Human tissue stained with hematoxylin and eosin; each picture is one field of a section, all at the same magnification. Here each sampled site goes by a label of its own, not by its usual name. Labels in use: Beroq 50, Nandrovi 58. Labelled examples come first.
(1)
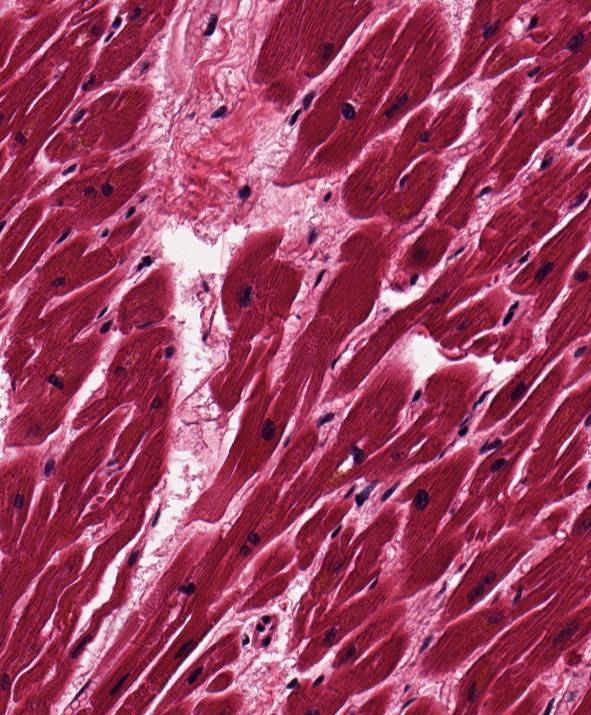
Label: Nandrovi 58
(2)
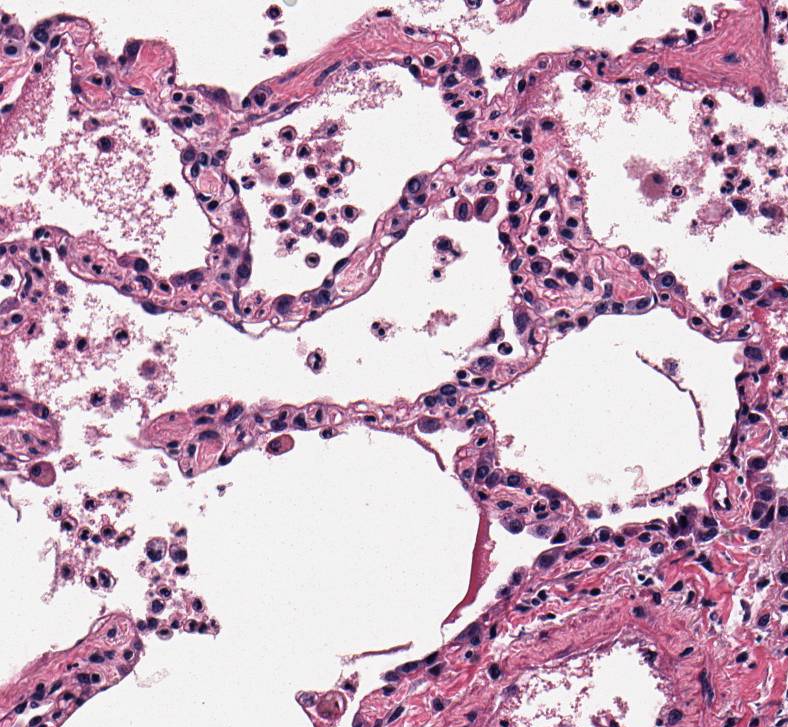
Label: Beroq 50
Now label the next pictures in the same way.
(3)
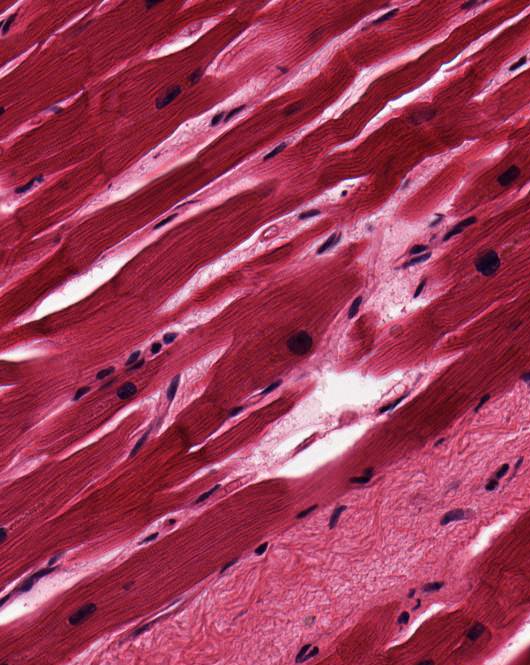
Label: Nandrovi 58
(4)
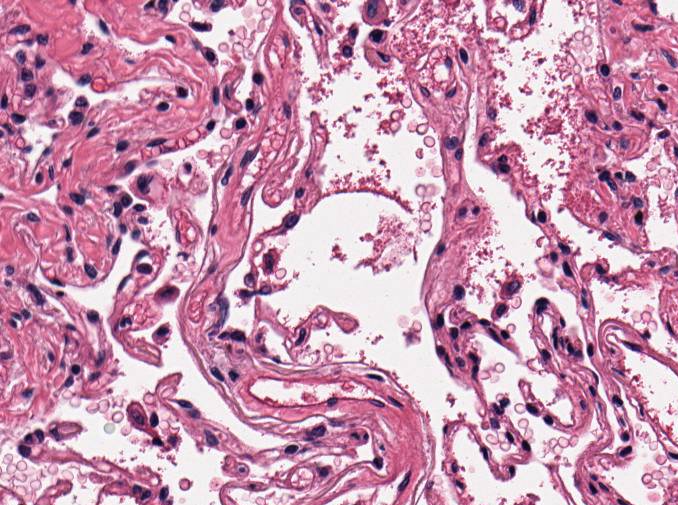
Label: Beroq 50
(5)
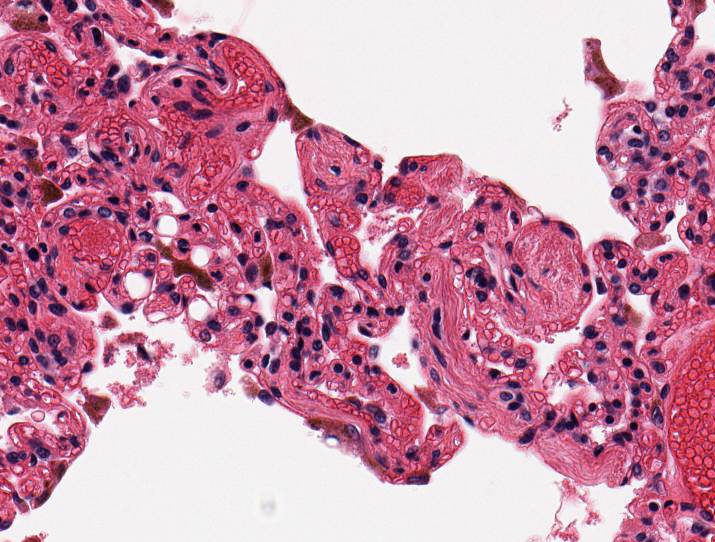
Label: Beroq 50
